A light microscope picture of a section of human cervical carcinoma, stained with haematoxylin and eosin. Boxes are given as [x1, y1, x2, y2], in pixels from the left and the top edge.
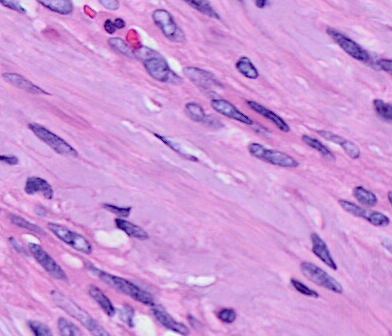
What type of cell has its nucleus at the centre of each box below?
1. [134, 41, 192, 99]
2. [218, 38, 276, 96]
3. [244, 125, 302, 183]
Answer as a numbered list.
1. endothelial cell
2. smooth muscle cell
3. smooth muscle cell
